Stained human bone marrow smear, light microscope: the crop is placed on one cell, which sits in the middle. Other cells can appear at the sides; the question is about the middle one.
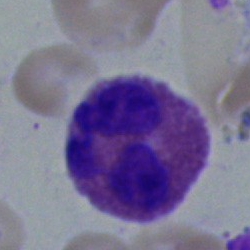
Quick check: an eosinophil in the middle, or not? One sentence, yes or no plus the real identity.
Yes, that middle cell in the crop is an eosinophil.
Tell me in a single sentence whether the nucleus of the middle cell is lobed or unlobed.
Its nucleus is lobed, with at least two separate segments.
